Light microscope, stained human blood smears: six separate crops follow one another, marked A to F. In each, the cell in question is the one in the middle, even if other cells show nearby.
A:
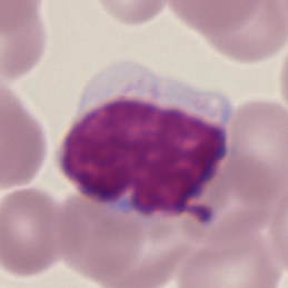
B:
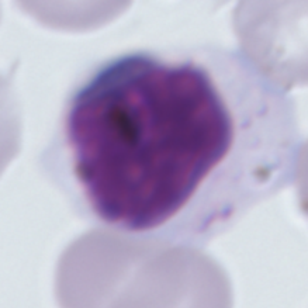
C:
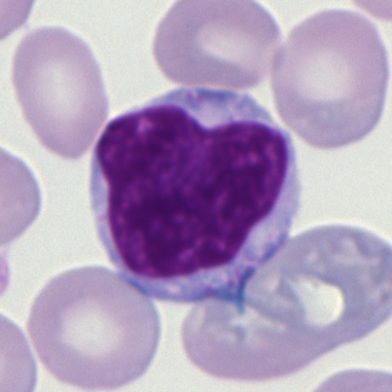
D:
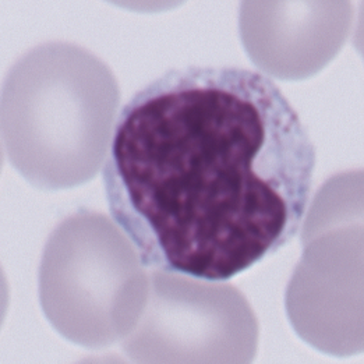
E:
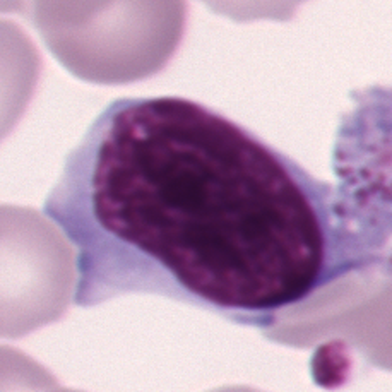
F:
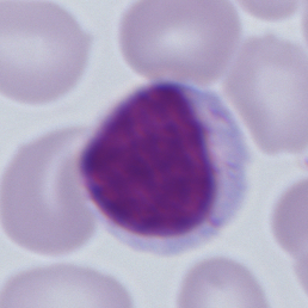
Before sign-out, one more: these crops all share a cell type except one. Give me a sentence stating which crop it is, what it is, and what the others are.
Crop C differs from its companions, showing a typical lymphocyte where they show large granular lymphocytes.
